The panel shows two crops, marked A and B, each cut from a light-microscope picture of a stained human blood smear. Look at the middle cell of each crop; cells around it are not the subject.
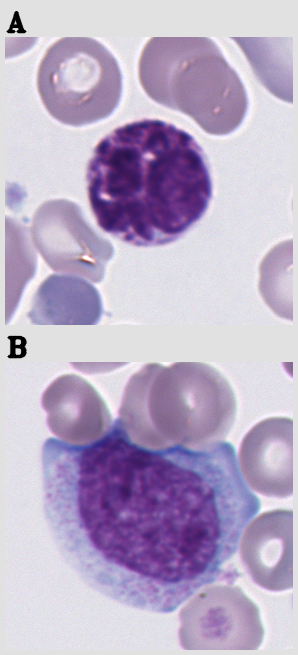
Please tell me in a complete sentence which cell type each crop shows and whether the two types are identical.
No, a basophil and a promyelocyte are found in crop A and crop B, respectively.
